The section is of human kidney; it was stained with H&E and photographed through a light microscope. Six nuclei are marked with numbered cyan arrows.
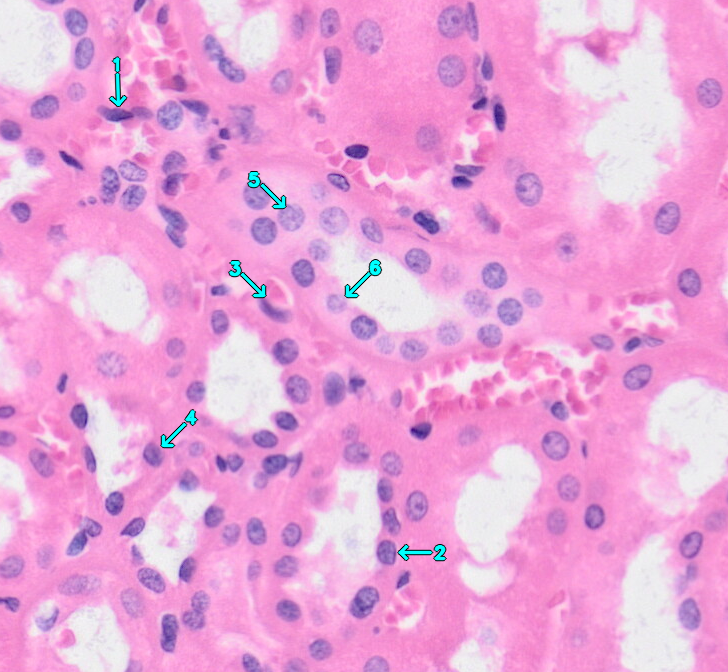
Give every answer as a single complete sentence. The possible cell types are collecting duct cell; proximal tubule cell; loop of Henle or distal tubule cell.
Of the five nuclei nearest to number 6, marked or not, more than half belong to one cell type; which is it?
Most of the five nuclei nearest to number 6 are those of collecting duct cells.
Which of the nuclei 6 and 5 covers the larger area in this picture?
It is nucleus 5, which covers about 2 times the area of nucleus 6.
